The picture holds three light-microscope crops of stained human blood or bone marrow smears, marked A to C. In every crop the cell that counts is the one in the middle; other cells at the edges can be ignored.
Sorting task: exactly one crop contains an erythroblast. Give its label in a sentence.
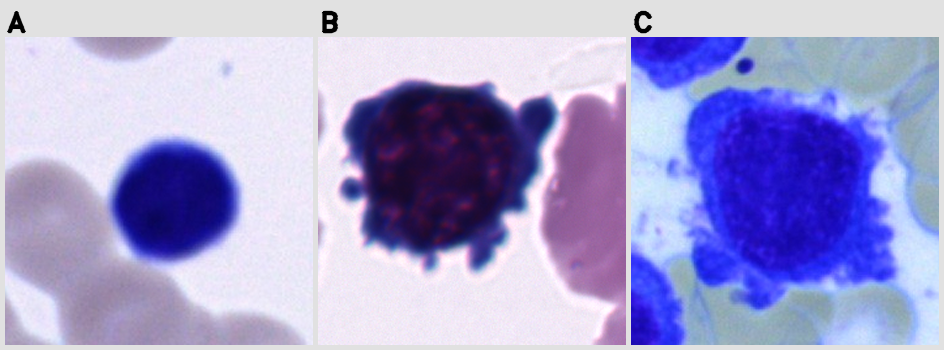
Crop B is the correct crop, and it shows an erythroblast.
